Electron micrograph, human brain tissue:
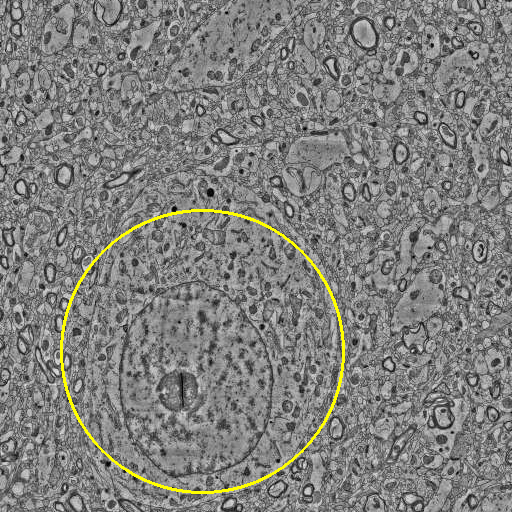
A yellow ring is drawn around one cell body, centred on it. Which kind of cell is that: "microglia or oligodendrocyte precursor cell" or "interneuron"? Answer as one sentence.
It is an interneuron at the centre of the ring.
